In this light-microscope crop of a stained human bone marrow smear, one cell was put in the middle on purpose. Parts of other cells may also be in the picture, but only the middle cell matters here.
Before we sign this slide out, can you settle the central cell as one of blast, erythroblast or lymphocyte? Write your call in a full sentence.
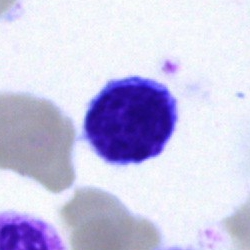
The cell positioned in the middle of the field is a lymphocyte.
